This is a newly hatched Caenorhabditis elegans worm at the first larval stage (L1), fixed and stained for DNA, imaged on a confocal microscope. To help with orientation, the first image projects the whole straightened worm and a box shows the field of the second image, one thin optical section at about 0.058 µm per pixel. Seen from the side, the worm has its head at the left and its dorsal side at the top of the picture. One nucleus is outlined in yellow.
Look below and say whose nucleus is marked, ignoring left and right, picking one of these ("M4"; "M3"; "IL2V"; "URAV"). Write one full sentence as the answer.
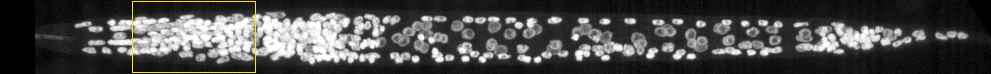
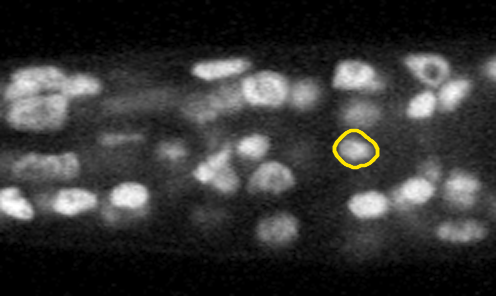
The marked cell is M3, a neuron.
